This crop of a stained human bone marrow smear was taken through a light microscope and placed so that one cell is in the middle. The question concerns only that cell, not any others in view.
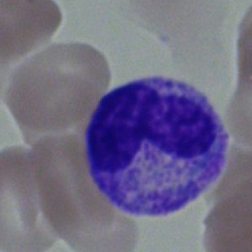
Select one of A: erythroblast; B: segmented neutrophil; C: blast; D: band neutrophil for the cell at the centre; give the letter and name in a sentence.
Option D is correct, naming the cell in the middle as a band neutrophil.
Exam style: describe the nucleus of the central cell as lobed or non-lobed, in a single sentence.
The nuclear material is gathered into one compact round, oval or kidney-shaped mass.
